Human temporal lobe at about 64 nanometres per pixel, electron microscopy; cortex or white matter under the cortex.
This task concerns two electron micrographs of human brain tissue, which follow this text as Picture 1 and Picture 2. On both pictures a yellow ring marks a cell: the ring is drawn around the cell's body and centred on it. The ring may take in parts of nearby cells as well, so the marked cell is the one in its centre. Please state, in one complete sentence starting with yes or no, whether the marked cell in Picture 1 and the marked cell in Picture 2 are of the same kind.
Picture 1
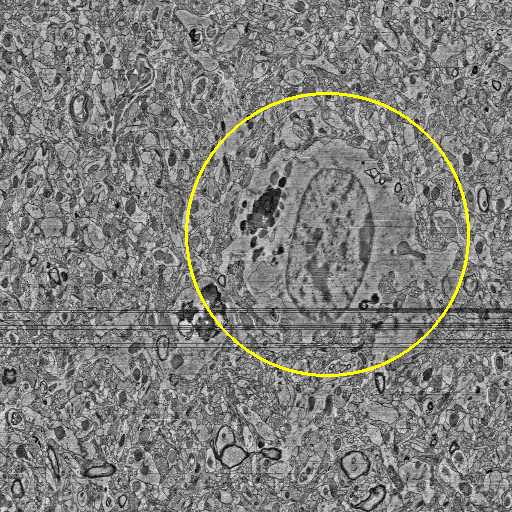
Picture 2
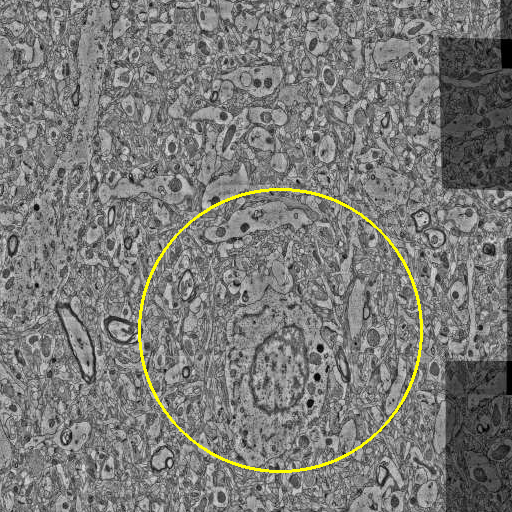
No, the marked cells in the two pictures are of two kinds.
